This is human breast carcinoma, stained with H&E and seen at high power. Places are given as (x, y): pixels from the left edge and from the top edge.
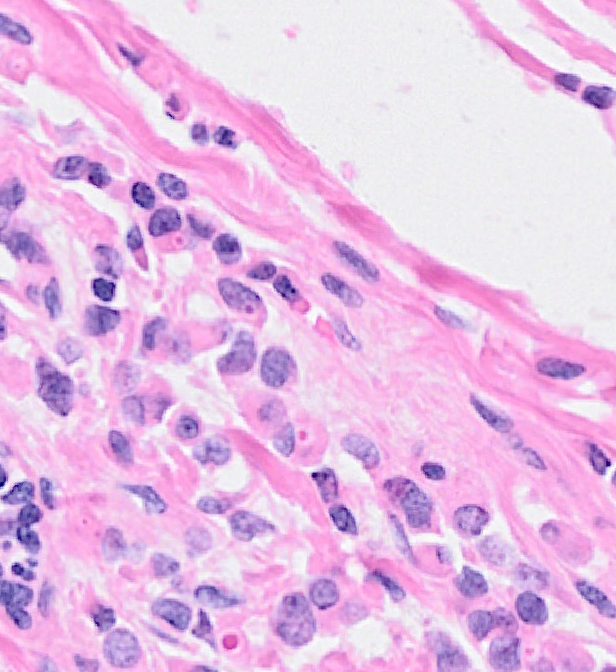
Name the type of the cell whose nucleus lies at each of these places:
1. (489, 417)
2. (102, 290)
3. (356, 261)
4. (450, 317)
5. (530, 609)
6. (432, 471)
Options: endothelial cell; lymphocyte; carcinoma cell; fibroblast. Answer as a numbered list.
1. fibroblast
2. lymphocyte
3. fibroblast
4. fibroblast
5. carcinoma cell
6. lymphocyte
